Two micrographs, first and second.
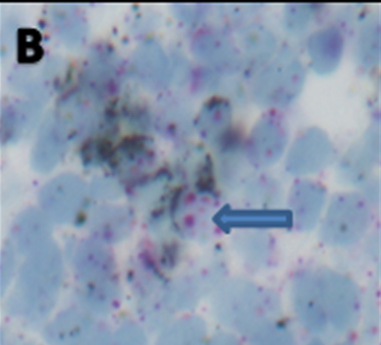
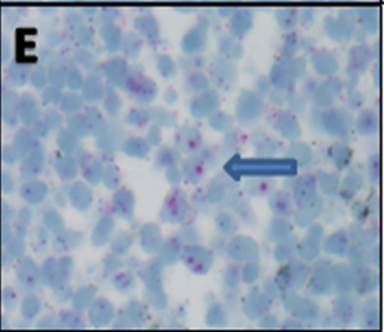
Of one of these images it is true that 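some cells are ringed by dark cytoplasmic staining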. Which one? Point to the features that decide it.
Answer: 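Second image: the cells are pale blue with pink dots and almost no dark deposit around them. First image: dark black granules gather around the arrowed cell and its neighbours.
Hence: the first image.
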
